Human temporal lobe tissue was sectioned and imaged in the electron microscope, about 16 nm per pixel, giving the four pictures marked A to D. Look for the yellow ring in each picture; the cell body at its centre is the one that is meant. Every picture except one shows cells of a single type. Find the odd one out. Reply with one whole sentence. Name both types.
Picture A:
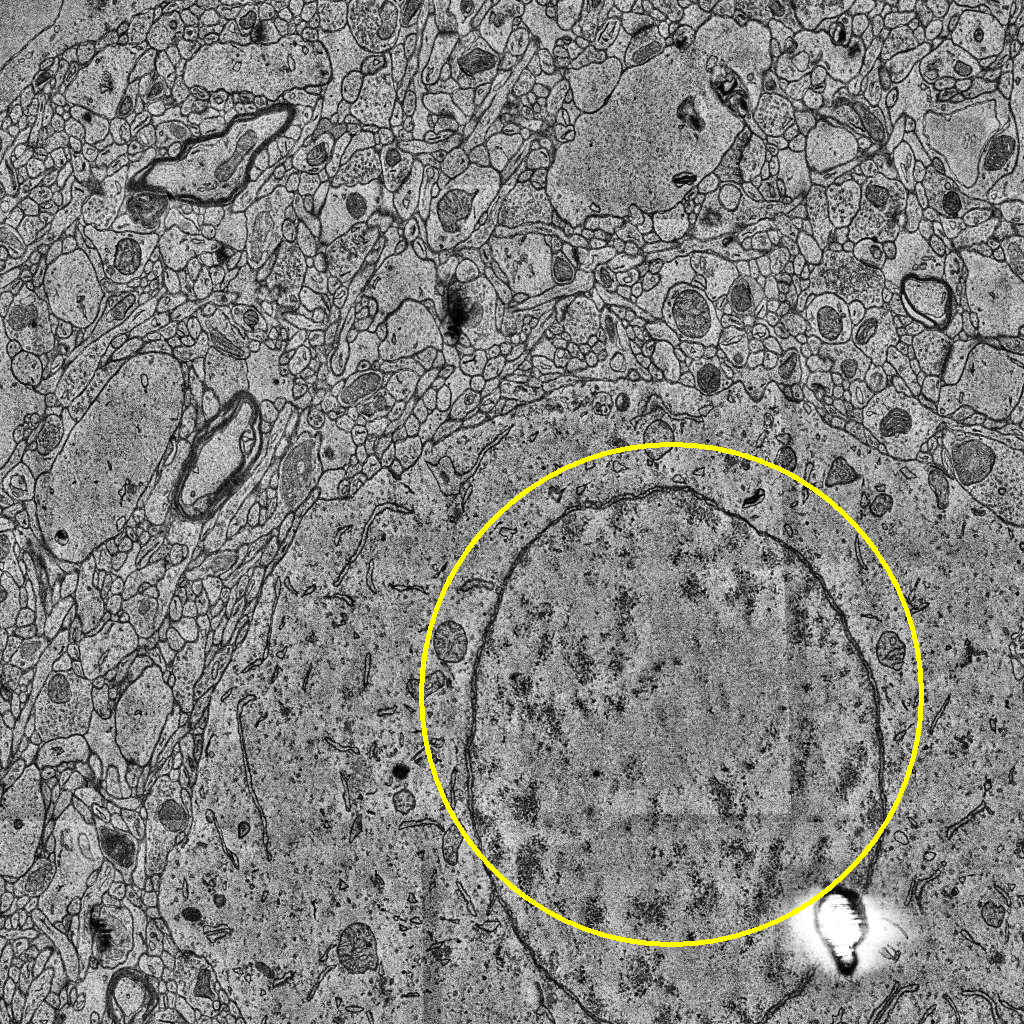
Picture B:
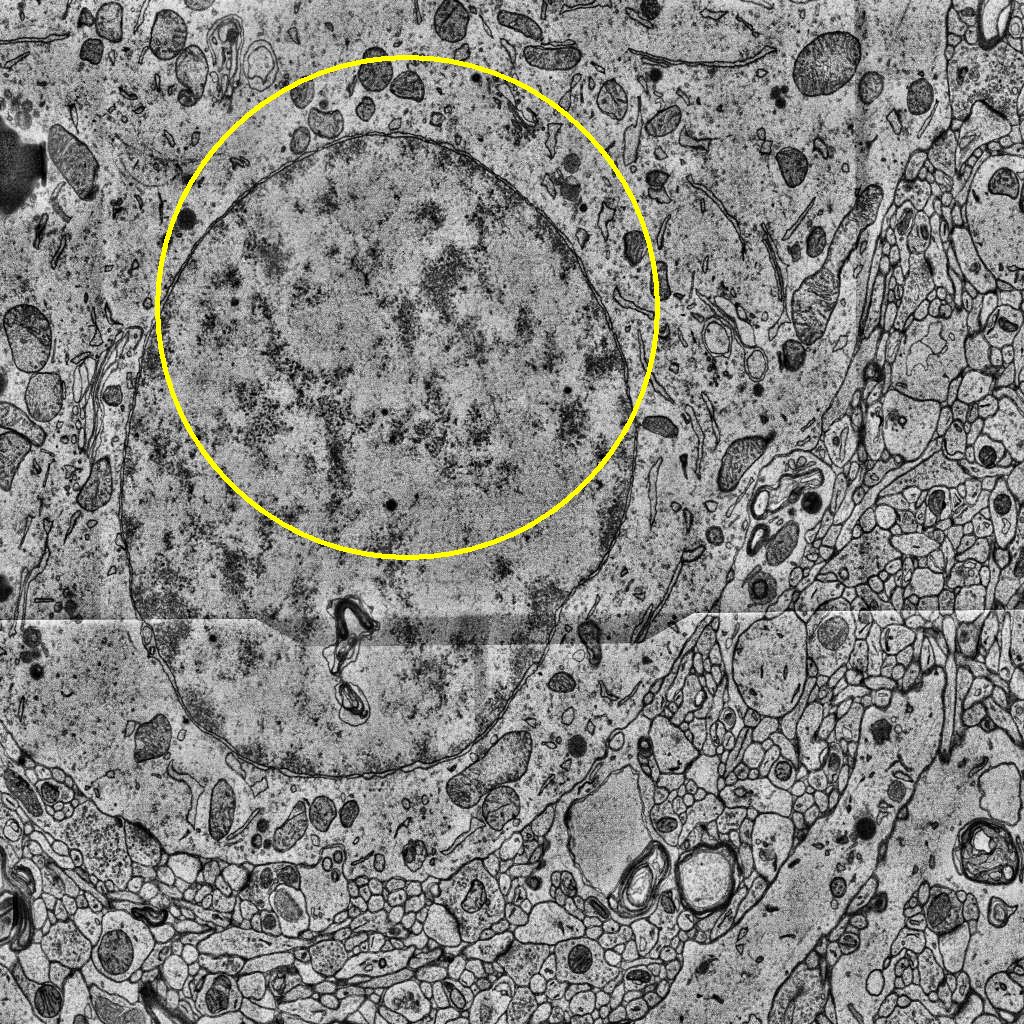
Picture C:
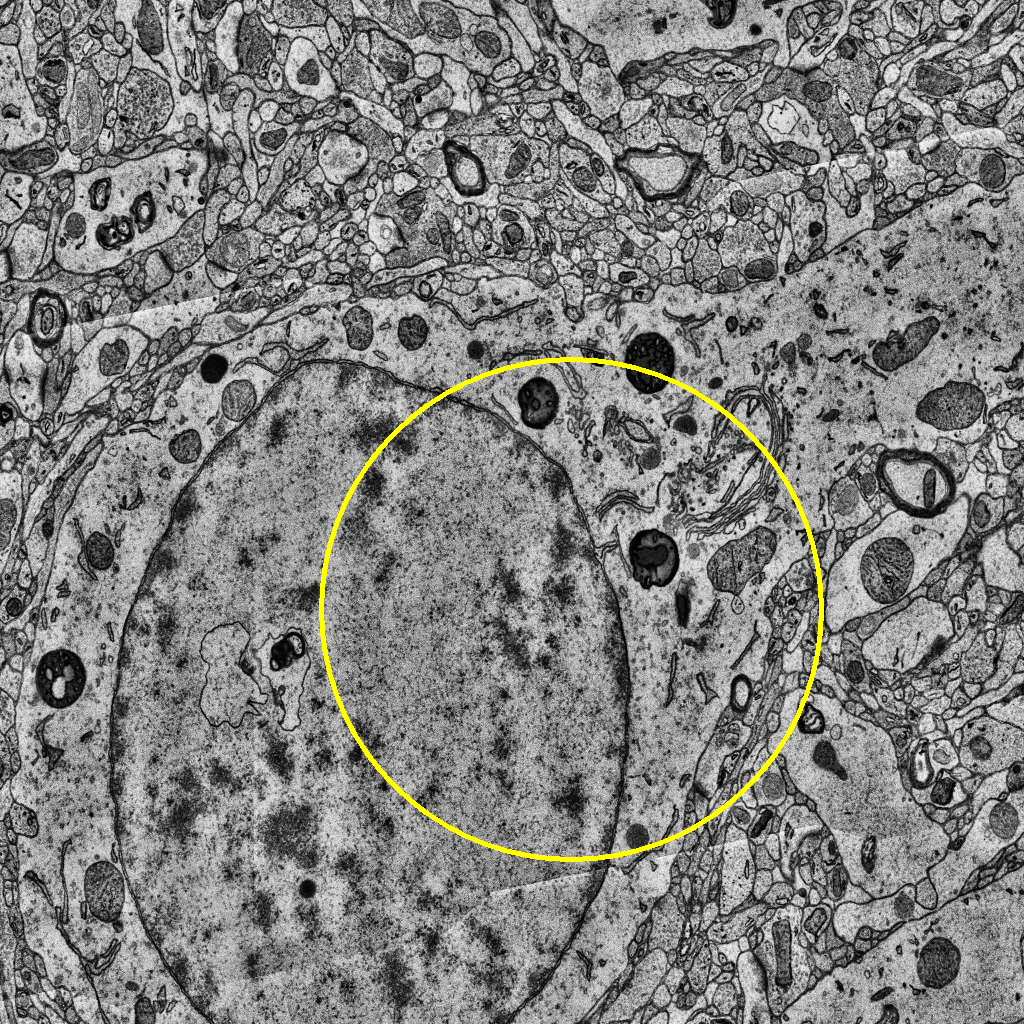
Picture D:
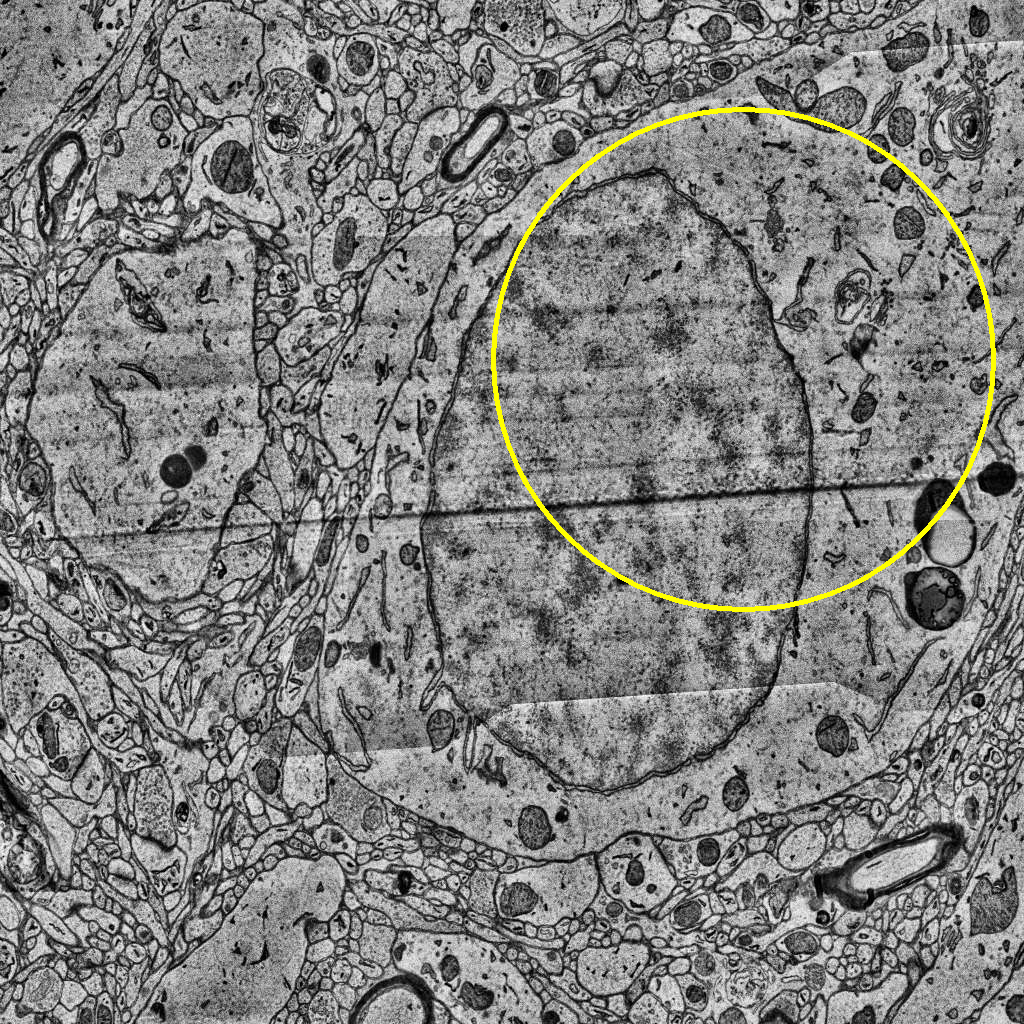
Picture B is the odd one out: it shows an interneuron, while the others show pyramidal neurons.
